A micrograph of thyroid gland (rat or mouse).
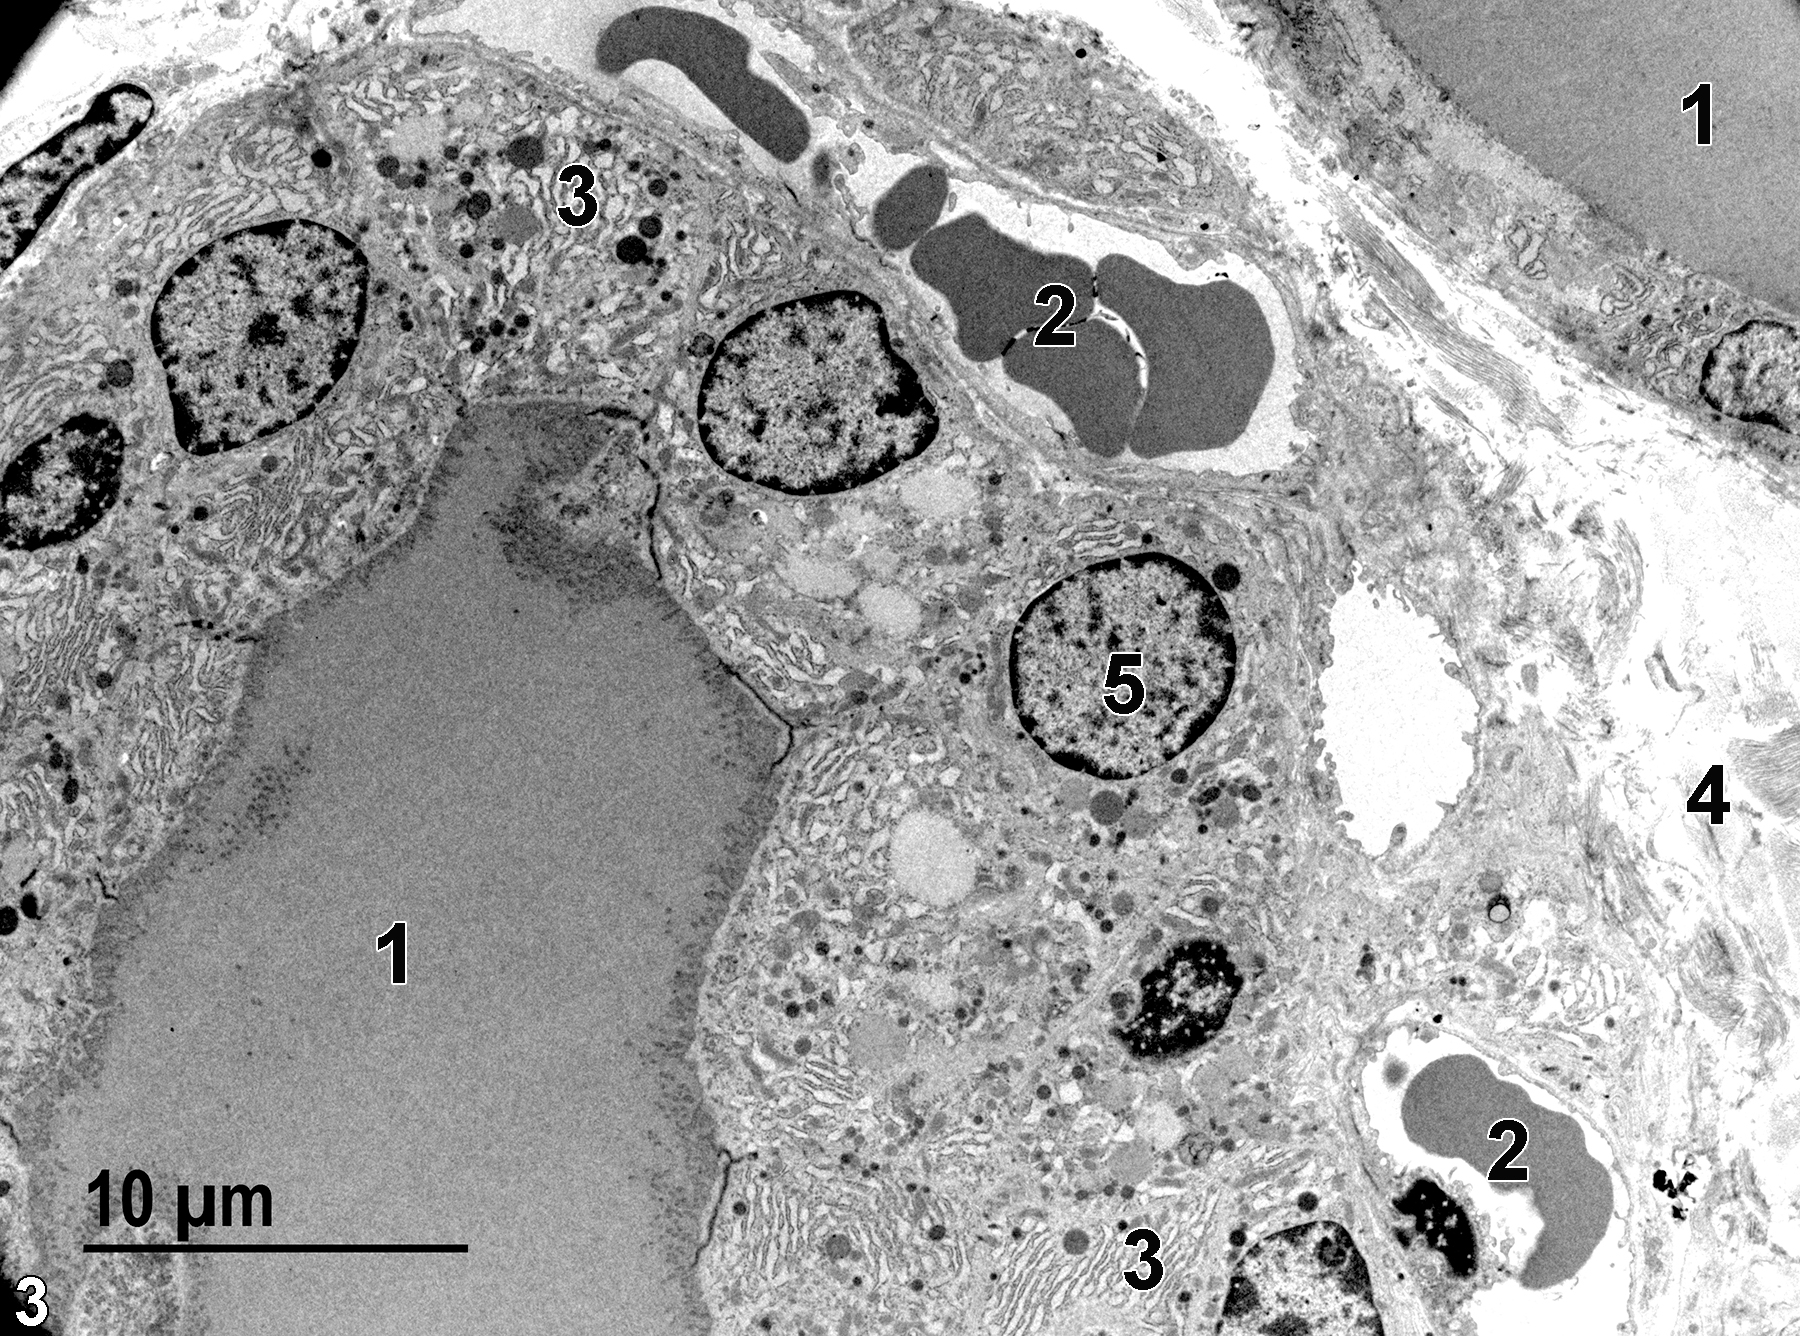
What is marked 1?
Colloid.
